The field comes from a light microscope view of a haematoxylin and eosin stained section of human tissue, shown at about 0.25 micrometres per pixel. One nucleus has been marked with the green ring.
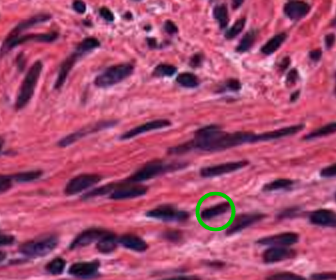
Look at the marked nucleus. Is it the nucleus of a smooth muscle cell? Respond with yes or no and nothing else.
yes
